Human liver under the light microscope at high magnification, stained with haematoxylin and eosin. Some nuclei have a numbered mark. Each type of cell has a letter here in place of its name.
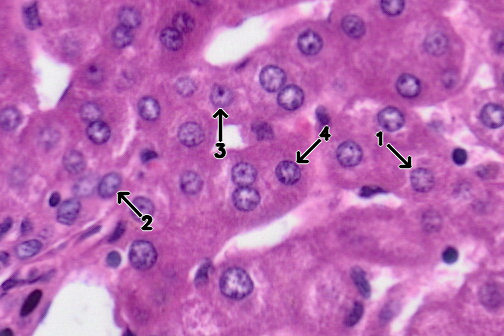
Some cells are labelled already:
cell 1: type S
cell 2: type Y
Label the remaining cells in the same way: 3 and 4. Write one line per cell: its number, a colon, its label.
3: type S
4: type S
